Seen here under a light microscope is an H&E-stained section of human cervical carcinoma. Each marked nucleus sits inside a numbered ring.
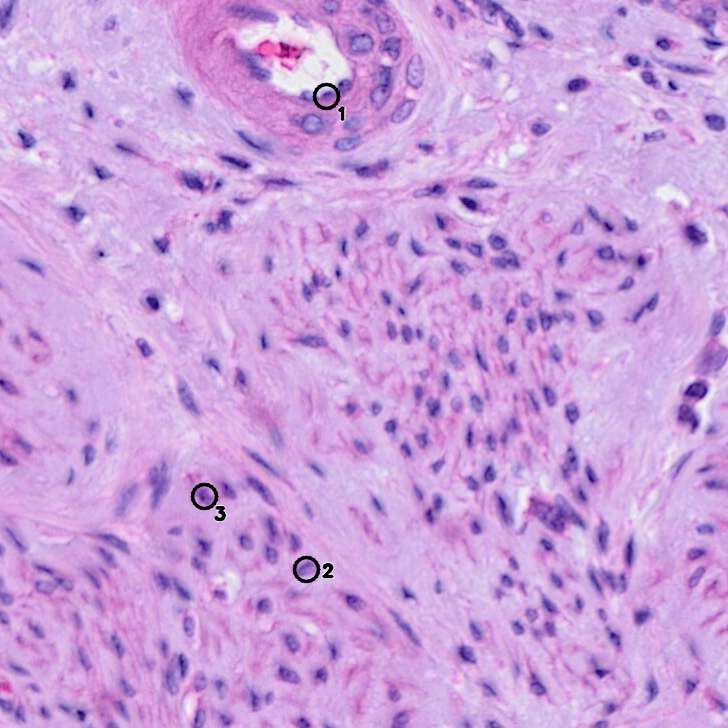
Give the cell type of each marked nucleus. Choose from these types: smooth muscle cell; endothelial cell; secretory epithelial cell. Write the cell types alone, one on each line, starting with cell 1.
endothelial cell
smooth muscle cell
smooth muscle cell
